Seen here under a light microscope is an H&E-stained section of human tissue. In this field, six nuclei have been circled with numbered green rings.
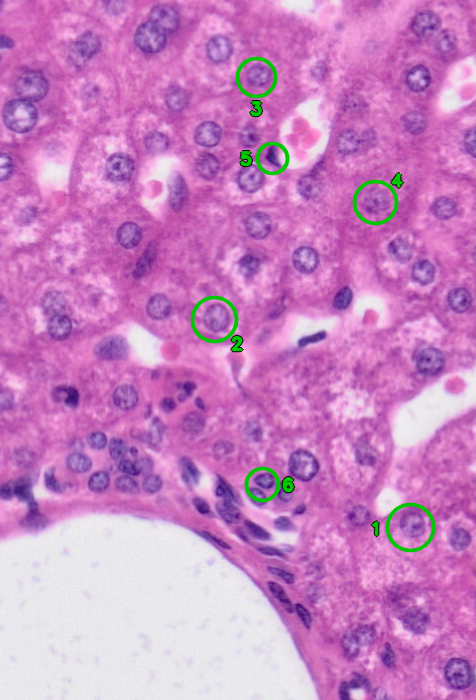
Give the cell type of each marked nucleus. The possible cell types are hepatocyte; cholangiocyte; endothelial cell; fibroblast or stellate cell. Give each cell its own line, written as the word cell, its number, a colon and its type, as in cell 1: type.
cell 1: hepatocyte
cell 2: hepatocyte
cell 3: hepatocyte
cell 4: hepatocyte
cell 5: fibroblast or stellate cell
cell 6: cholangiocyte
